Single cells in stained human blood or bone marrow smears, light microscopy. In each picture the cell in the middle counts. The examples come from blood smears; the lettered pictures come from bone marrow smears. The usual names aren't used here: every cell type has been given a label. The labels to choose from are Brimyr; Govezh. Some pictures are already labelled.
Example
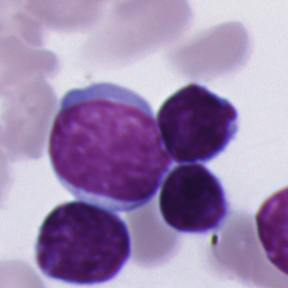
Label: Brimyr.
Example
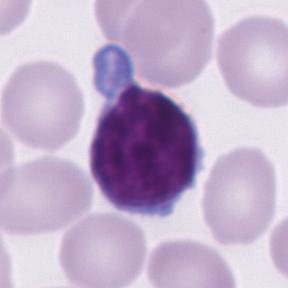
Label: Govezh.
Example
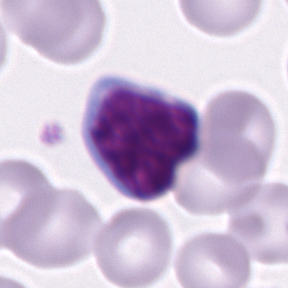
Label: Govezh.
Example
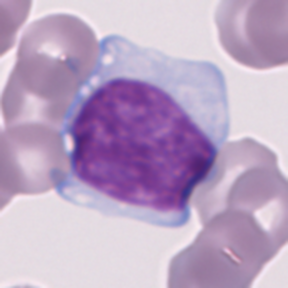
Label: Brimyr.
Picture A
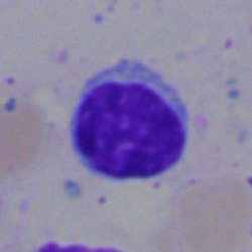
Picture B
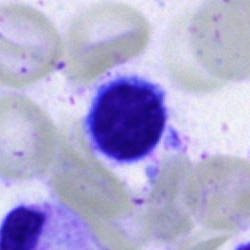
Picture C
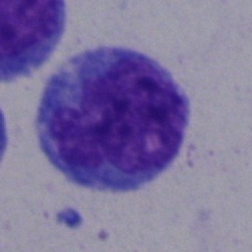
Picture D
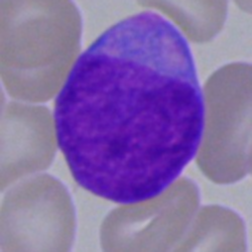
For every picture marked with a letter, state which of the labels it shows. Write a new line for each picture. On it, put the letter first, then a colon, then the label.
A: Govezh.
B: Govezh.
C: Brimyr.
D: Brimyr.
